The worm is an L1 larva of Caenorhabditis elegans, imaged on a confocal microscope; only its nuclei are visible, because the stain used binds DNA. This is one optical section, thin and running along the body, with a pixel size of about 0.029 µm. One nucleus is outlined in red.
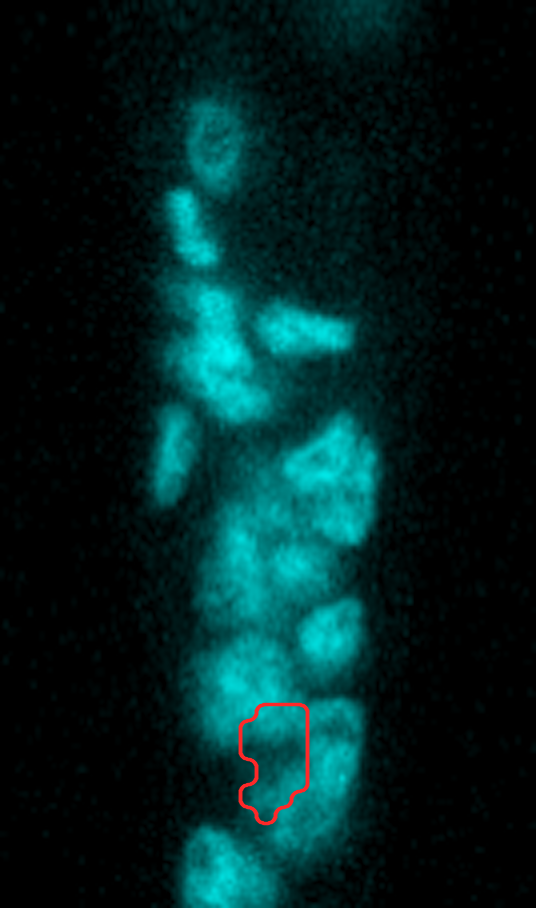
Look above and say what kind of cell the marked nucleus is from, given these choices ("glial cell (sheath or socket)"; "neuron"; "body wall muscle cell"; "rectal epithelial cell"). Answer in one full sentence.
It belongs to a glial cell (sheath or socket).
